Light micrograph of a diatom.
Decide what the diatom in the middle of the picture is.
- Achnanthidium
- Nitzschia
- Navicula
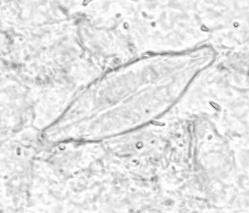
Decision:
Navicula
